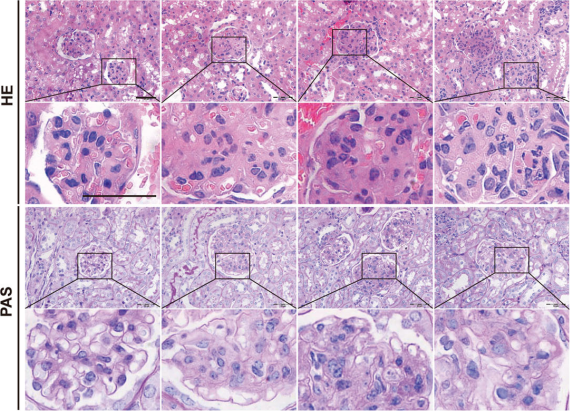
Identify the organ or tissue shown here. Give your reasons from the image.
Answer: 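Kidney. Round tufts of capillary loops sit inside a thin capsule with a clear space around them. The tufts are surrounded by many cross-sectioned tubules lined by cuboidal epithelium. Enlarged views show the tufts with many small nuclei between capillary loops.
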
